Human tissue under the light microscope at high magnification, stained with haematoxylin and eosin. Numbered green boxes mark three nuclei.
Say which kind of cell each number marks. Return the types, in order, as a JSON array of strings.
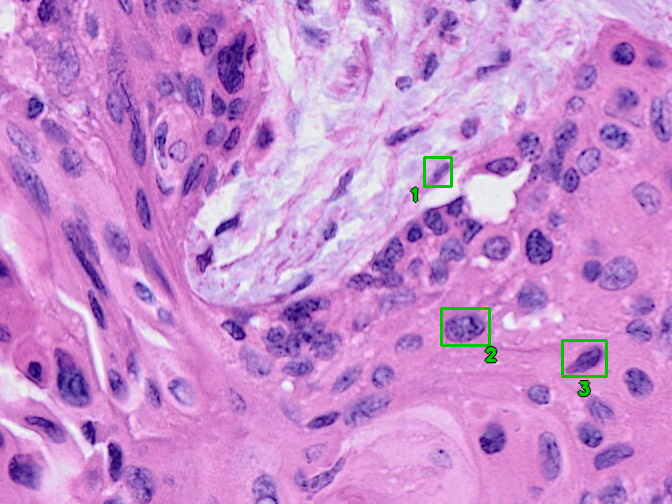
["fibroblast", "squamous carcinoma cell", "squamous carcinoma cell"]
